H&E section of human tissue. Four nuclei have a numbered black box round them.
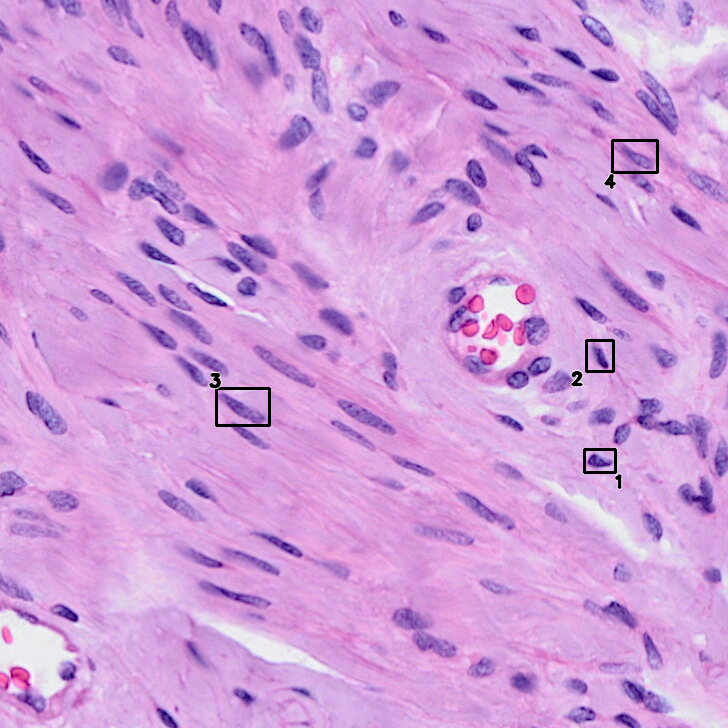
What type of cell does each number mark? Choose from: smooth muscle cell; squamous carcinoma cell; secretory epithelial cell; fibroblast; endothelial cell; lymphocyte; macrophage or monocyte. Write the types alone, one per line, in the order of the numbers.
fibroblast
fibroblast
fibroblast
smooth muscle cell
